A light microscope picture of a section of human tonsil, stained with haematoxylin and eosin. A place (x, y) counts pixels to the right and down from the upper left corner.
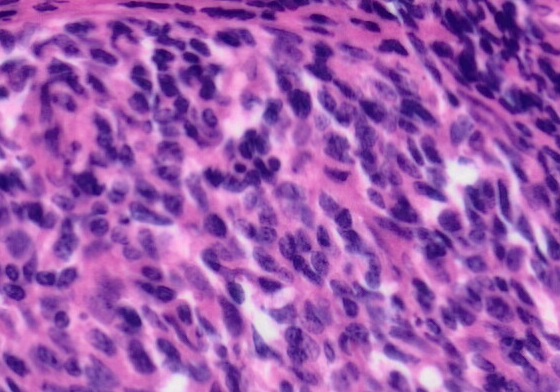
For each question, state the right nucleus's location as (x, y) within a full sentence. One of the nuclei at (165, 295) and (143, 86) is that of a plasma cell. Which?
Of the two nuclei, the nucleus of a plasma cell is at (165, 295).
